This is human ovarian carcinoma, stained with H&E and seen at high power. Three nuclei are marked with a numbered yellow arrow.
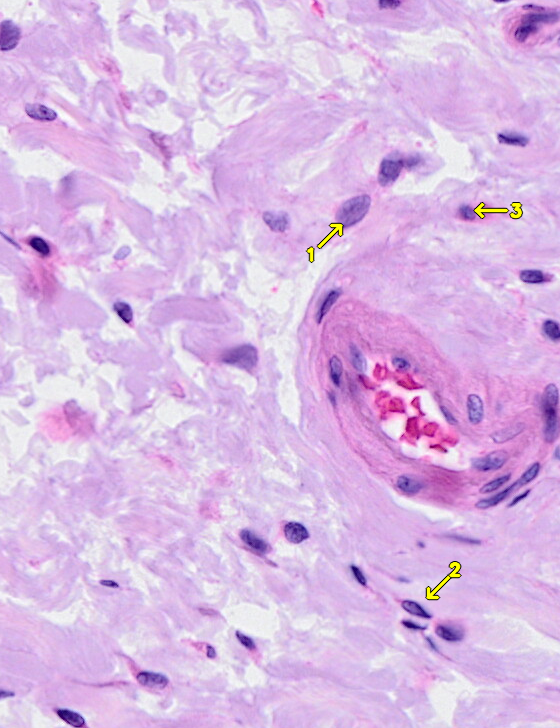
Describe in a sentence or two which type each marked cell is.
Cells 1 and 2 are fibroblasts. Cell 3 is a smooth muscle cell.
